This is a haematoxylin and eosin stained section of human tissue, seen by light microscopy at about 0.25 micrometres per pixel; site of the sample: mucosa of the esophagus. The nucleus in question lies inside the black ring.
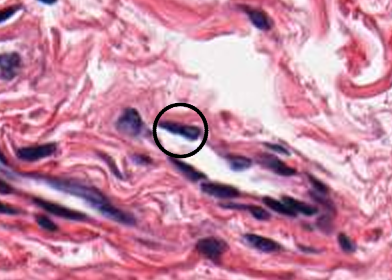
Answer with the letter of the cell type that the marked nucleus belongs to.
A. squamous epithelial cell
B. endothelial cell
B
